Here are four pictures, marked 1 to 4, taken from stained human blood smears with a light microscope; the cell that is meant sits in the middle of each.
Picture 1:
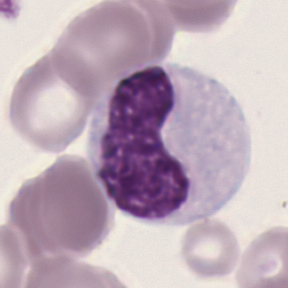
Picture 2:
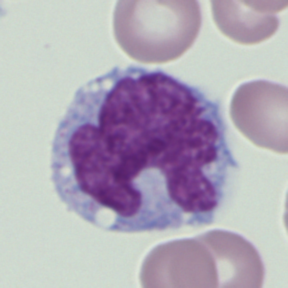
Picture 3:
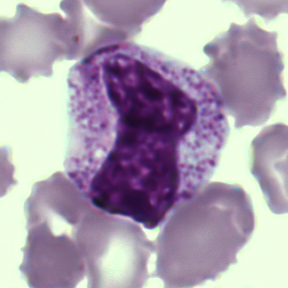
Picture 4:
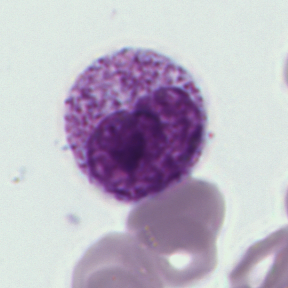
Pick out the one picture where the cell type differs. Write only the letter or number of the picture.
2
